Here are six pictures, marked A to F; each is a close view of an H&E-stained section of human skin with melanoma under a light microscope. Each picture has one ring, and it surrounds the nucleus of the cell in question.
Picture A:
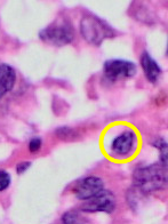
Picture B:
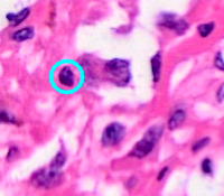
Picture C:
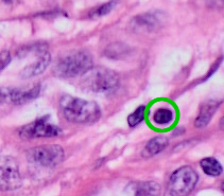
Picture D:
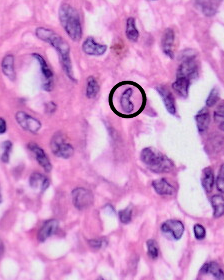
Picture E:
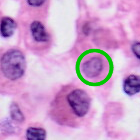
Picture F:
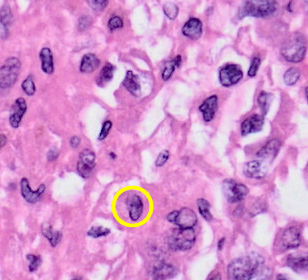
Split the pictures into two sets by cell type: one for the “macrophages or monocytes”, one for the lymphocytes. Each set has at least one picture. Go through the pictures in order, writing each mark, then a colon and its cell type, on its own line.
A: lymphocyte
B: lymphocyte
C: lymphocyte
D: macrophage or monocyte
E: macrophage or monocyte
F: macrophage or monocyte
